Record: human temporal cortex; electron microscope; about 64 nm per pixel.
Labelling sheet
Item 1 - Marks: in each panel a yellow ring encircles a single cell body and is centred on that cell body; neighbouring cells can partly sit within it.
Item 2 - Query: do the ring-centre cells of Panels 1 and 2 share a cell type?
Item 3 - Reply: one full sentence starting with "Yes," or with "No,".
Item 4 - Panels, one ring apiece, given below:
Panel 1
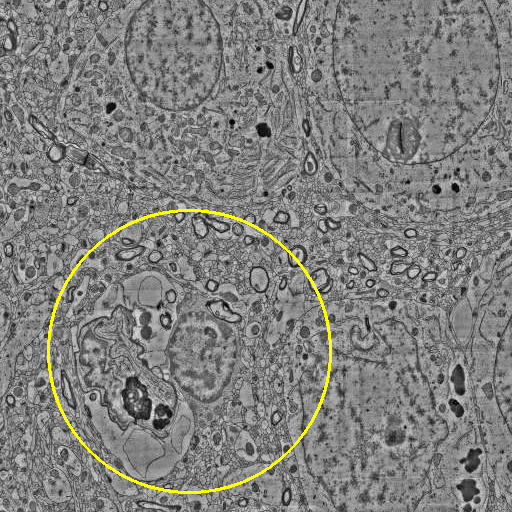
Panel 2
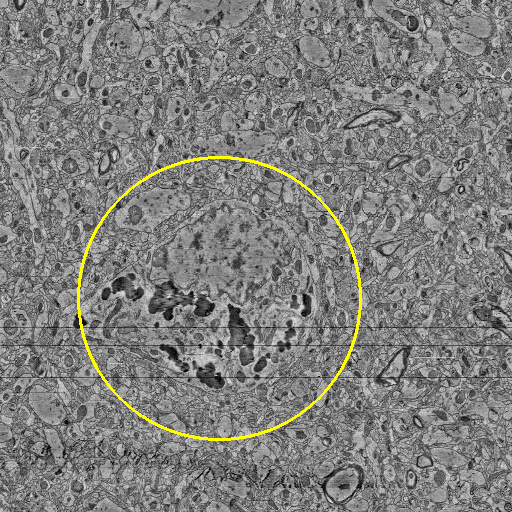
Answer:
No, Panel 1 and Panel 2 show two cell types at the centres of their rings.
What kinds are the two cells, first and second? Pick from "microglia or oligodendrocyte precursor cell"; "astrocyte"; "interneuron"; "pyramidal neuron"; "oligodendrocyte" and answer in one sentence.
The second picture holds an interneuron in its ring, and the first holds an oligodendrocyte.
